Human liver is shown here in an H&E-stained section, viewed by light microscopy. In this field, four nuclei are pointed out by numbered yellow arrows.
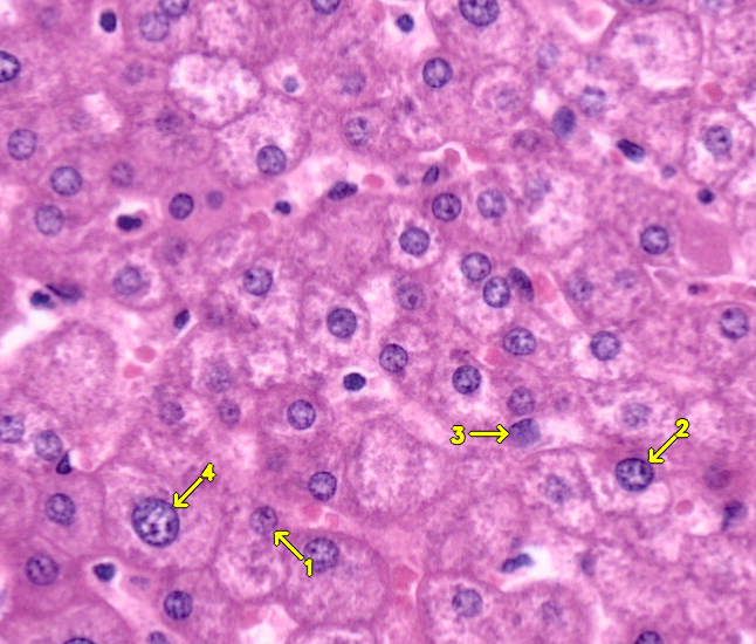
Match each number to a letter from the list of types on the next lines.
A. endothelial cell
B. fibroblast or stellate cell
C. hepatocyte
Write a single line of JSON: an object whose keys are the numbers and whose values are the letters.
{"1": "C", "2": "C", "3": "A", "4": "C"}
